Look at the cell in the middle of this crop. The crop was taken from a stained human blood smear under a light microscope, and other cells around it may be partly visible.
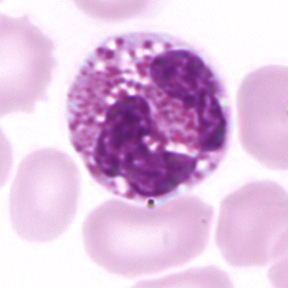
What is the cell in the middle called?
eosinophil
